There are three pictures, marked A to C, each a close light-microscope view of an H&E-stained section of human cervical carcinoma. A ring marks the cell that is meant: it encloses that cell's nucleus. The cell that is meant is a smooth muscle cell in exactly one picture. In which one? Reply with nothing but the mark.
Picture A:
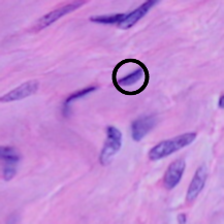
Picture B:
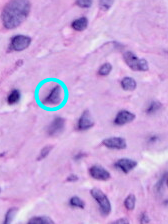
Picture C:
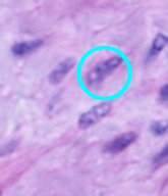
C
